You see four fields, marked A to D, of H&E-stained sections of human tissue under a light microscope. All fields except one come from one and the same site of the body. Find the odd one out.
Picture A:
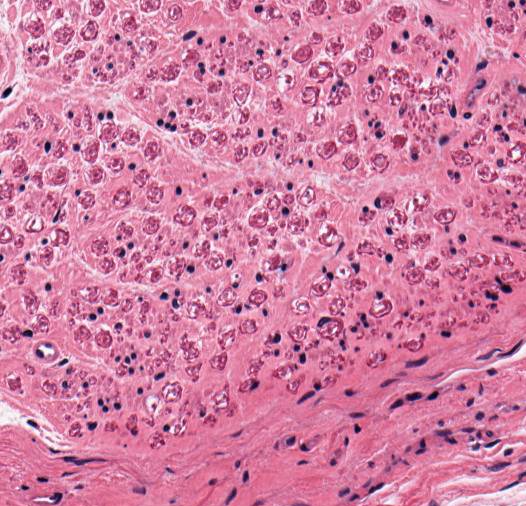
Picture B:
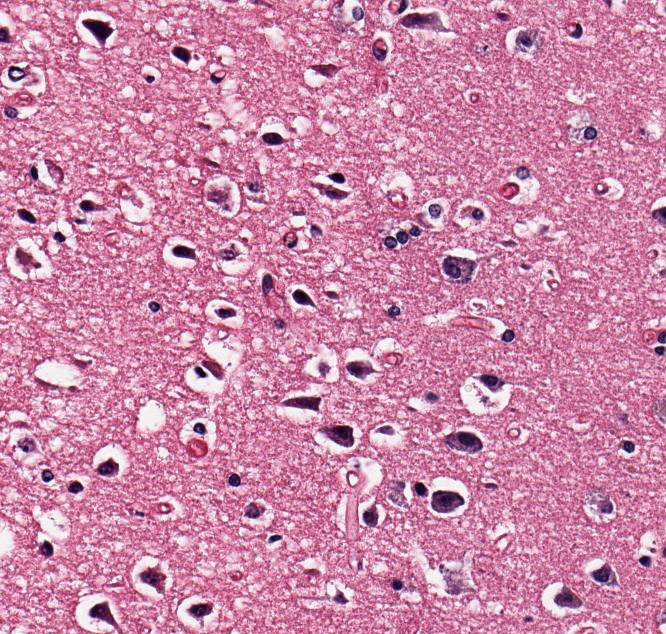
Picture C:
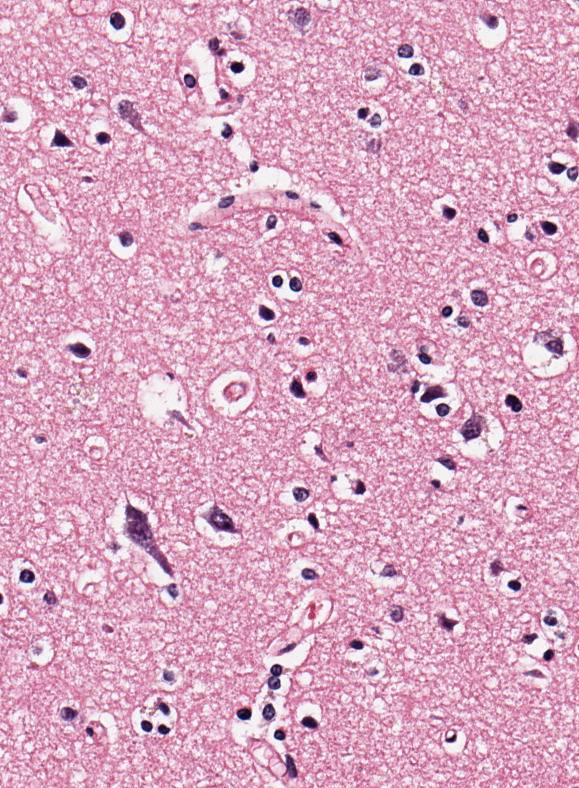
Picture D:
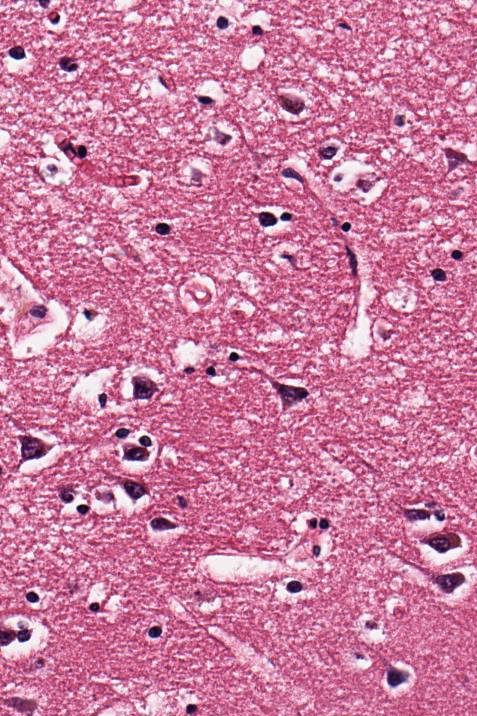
A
